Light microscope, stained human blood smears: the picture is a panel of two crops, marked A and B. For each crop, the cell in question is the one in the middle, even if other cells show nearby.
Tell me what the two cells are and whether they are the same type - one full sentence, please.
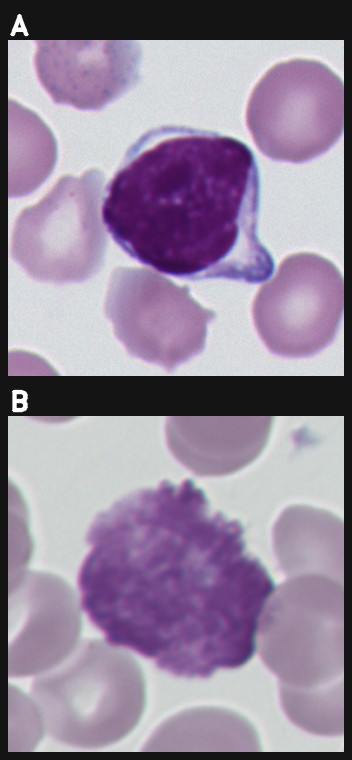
No, crop A holds a typical lymphocyte, and a smudge cell occupies crop B.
